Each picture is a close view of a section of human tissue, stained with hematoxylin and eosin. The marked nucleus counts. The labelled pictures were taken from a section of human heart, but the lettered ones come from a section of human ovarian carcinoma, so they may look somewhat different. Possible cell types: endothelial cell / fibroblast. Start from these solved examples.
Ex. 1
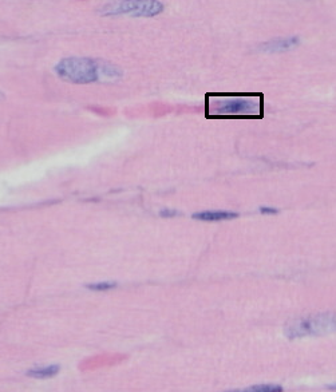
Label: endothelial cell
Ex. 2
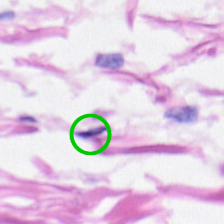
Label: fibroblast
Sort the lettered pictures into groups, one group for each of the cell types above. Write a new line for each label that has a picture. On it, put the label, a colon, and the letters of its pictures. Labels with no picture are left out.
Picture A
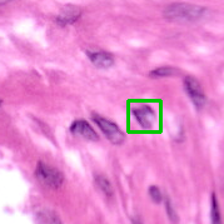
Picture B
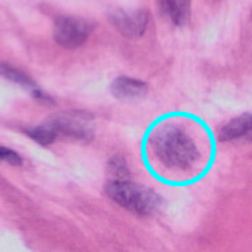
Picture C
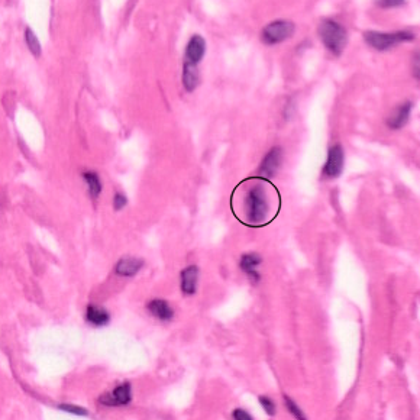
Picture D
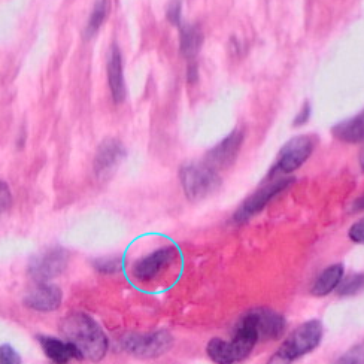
endothelial cell: D
fibroblast: A, B, C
